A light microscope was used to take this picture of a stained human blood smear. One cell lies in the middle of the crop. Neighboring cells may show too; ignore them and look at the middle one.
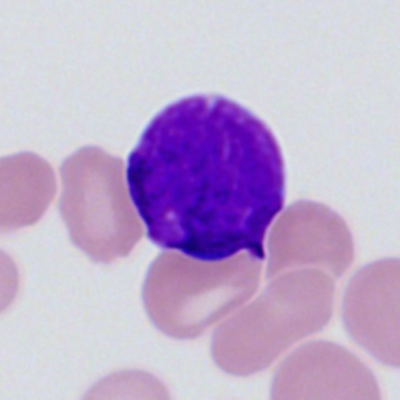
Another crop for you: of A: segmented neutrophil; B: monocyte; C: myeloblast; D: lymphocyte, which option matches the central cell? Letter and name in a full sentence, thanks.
Option C is the keyed answer: the cell in the middle is a myeloblast.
